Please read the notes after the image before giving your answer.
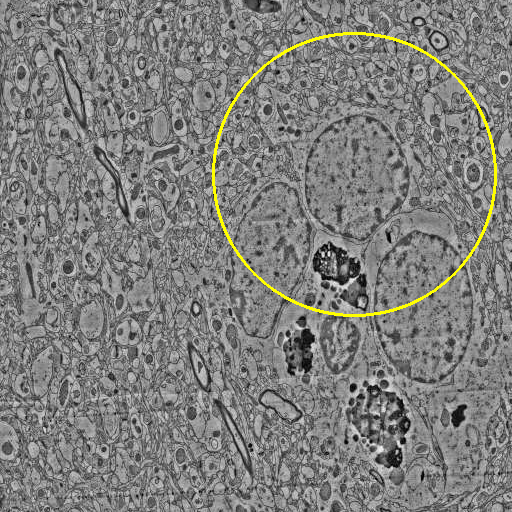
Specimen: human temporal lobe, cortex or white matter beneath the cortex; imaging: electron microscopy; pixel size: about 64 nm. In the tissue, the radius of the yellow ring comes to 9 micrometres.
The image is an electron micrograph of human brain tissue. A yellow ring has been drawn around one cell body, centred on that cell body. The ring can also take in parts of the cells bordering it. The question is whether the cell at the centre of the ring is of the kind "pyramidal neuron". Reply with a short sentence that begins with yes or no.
No, the cell at the centre is of another kind.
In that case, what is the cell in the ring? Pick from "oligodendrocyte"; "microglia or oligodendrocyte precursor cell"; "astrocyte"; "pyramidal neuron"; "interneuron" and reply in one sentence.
The cell this ring marks is an astrocyte.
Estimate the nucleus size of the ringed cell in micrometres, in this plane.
In this plane, the nucleus is roughly 8 by 7 micrometres.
